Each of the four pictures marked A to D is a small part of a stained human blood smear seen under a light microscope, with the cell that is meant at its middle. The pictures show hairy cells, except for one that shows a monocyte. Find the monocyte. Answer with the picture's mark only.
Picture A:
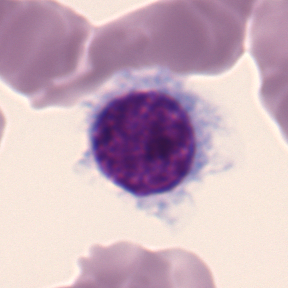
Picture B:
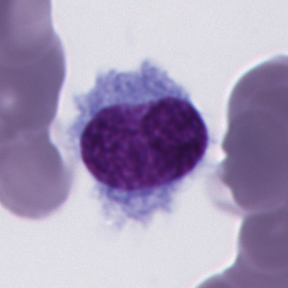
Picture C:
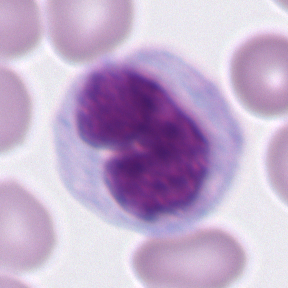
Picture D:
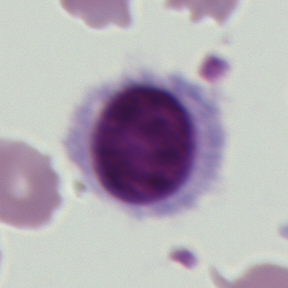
C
